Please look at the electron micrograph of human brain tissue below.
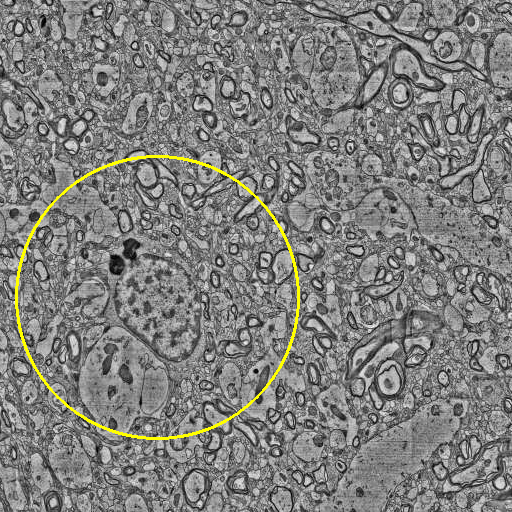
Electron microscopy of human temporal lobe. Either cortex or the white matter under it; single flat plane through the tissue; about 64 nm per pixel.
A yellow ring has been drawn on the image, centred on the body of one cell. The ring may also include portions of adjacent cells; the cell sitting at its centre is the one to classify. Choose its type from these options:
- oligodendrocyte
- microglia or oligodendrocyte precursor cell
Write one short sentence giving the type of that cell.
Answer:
The cell in the middle of the ring is an oligodendrocyte.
